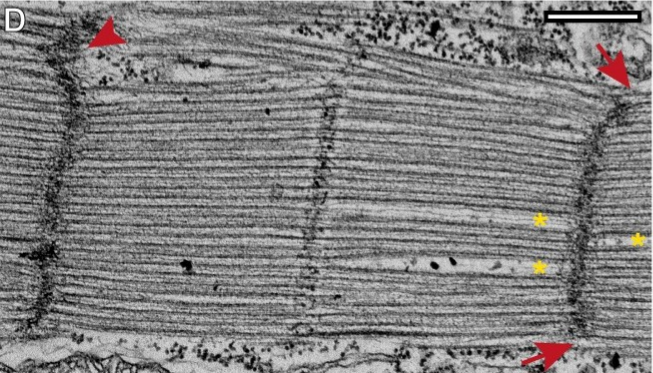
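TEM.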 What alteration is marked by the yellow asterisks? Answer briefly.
Loosely organized filament sections.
